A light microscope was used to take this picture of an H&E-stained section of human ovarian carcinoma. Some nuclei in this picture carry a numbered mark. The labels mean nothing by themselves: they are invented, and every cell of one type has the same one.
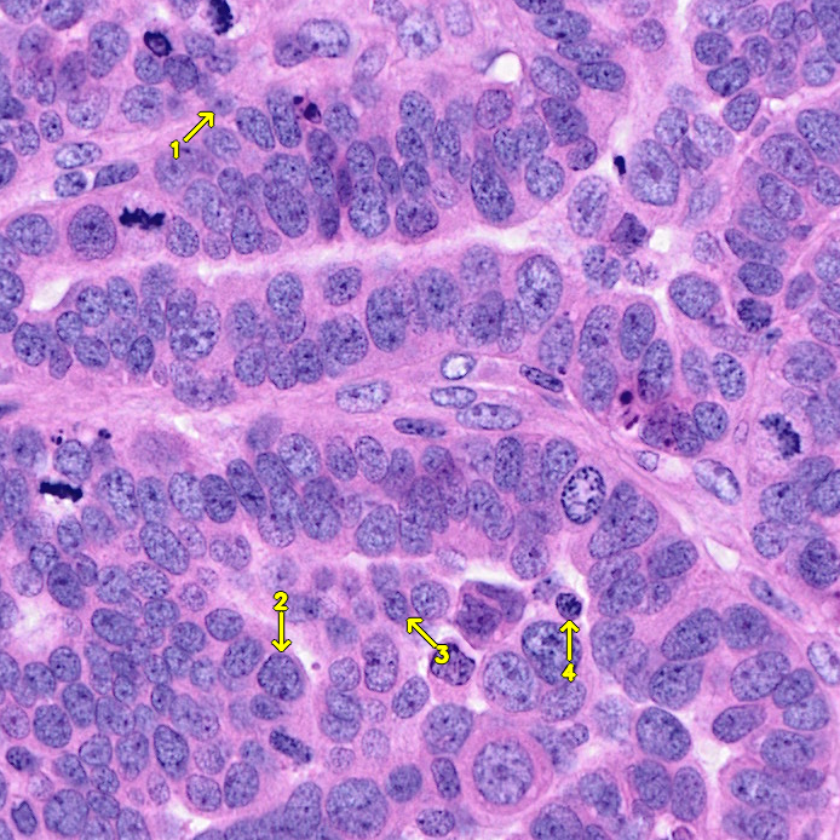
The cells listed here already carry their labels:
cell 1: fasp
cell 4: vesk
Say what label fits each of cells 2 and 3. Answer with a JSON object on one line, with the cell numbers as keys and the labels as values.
{"2": "fasp", "3": "fasp"}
